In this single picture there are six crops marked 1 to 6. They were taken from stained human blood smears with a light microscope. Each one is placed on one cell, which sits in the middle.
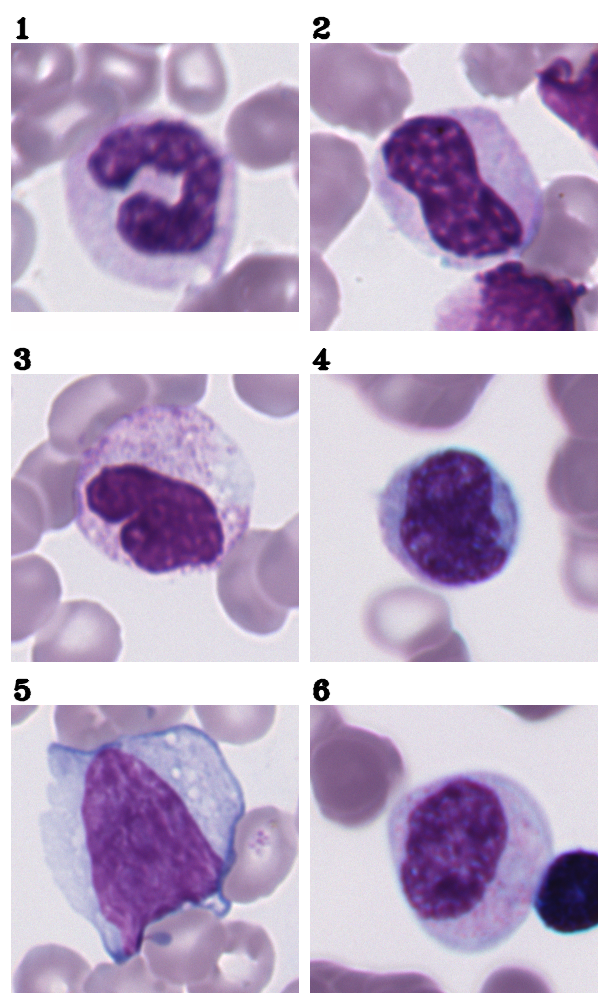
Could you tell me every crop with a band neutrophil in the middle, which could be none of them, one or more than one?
1, 2, 3, 6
